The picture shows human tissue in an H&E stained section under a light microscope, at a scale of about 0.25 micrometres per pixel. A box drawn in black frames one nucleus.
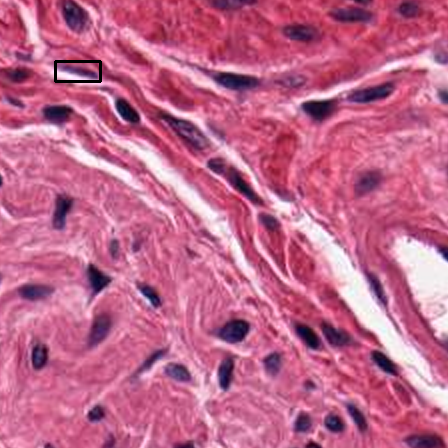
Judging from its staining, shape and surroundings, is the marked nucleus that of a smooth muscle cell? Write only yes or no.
no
